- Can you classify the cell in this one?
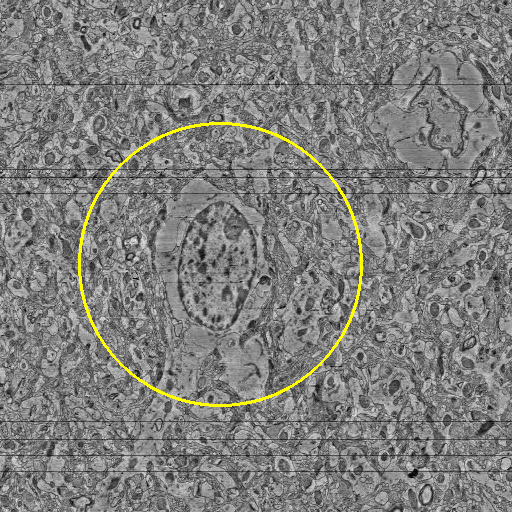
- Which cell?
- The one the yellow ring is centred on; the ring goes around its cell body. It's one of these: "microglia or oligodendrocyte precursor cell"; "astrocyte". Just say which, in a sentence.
The cell body in the ring belongs to an astrocyte.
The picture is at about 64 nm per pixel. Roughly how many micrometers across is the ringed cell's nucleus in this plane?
Roughly 8 micrometres long and 5 micrometres wide; in this plane the nucleus is clearly longer than it is wide.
